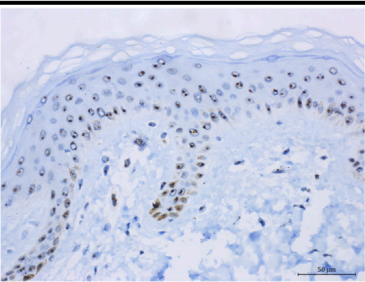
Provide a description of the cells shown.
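Epidermis at high magnification, with polygonal spinous keratinocytes above a basal row resting on pale dermis, and flattened cells toward the keratinized surface. The dermis below is loose and pale blue.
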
